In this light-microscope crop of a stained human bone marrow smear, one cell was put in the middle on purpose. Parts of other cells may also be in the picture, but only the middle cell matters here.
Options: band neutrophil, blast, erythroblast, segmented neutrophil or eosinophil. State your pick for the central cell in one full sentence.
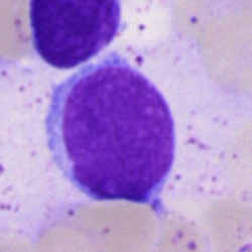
In the crop, the cell of interest at the centre is a blast.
